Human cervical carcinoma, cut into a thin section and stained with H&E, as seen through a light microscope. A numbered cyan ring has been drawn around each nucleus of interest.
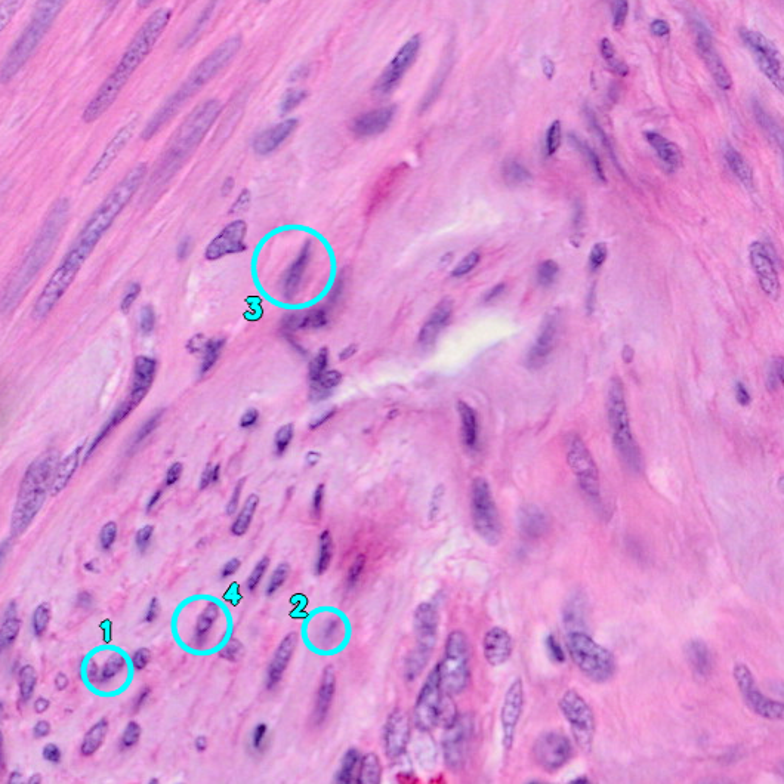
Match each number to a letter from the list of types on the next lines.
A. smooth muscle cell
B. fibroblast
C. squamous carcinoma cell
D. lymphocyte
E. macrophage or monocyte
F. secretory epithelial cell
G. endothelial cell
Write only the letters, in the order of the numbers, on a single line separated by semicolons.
A; A; B; A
